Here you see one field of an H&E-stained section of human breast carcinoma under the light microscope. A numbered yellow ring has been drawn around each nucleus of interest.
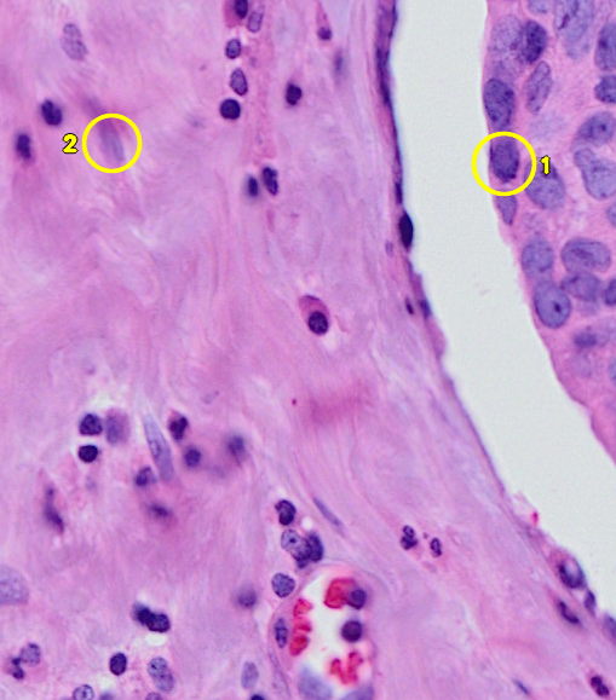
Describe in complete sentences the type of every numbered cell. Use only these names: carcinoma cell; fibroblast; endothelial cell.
Cell 1 is a carcinoma cell. Cell 2 is a fibroblast.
